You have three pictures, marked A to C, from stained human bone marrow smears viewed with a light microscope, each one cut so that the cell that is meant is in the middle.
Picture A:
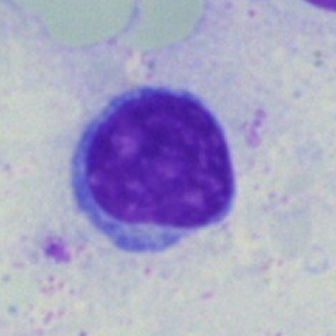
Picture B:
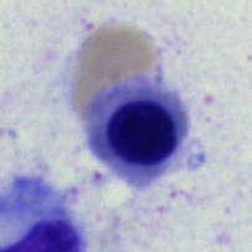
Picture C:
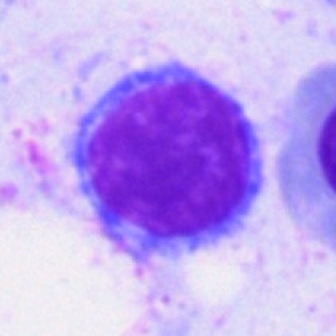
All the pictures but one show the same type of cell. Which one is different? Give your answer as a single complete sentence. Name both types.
Picture B is the odd one out: it shows an erythroblast, while the others show lymphocytes.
